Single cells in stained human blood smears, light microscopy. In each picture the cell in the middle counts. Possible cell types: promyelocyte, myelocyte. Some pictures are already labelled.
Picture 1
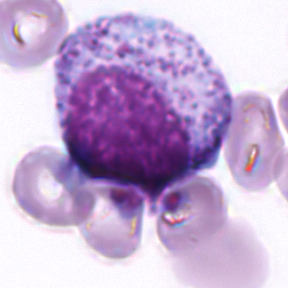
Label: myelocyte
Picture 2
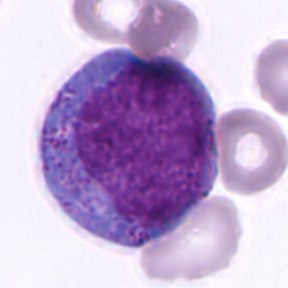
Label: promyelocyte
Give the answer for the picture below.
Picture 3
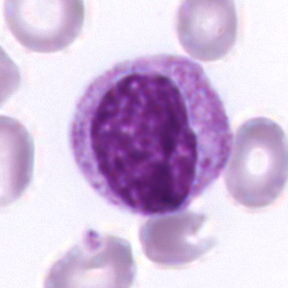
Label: myelocyte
